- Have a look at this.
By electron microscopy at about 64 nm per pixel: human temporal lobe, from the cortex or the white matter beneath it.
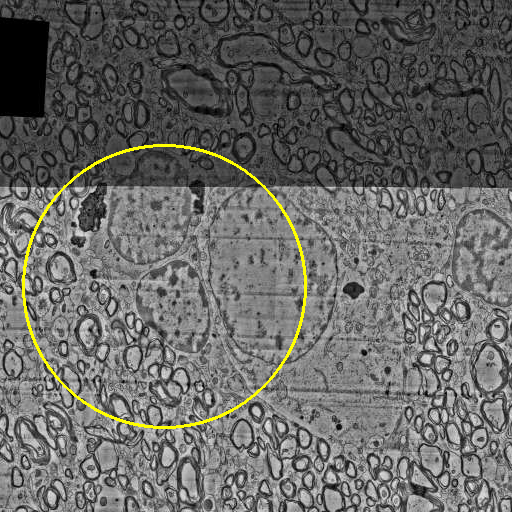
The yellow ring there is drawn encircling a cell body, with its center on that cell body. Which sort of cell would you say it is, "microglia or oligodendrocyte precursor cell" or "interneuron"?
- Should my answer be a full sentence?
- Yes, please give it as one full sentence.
For this picture, a microglial cell or oligodendrocyte precursor cell is the cell where the yellow ring has its center.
